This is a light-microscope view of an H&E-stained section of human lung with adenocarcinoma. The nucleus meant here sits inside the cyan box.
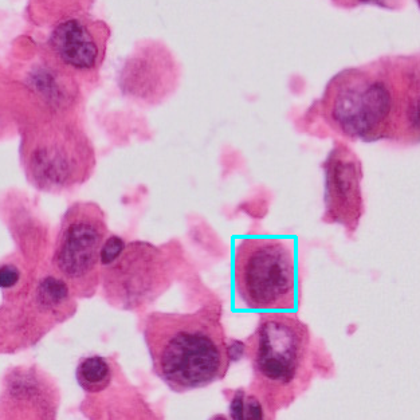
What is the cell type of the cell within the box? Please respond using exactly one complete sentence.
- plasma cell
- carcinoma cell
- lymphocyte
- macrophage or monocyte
In cellular terms, the cell within the box is a carcinoma cell.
